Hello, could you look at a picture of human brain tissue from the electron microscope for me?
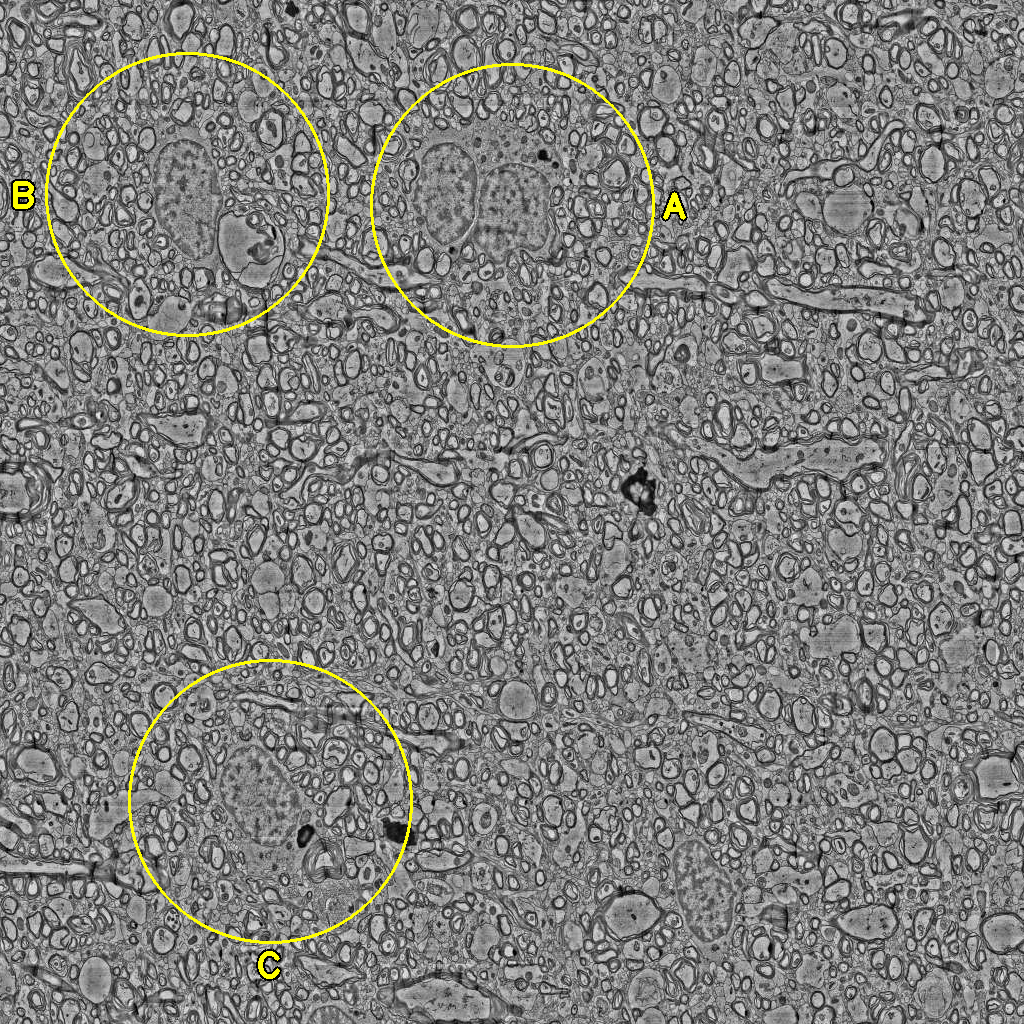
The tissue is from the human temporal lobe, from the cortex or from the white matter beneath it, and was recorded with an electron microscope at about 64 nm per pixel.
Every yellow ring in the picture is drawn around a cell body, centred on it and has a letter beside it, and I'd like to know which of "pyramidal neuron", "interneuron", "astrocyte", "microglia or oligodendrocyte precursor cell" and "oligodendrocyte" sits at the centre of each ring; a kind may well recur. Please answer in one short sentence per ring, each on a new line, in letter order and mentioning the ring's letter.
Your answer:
The cell sitting at the centre of ring A is an oligodendrocyte.
The cell sitting at the centre of ring B is an oligodendrocyte.
The cell sitting at the centre of ring C is an oligodendrocyte.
